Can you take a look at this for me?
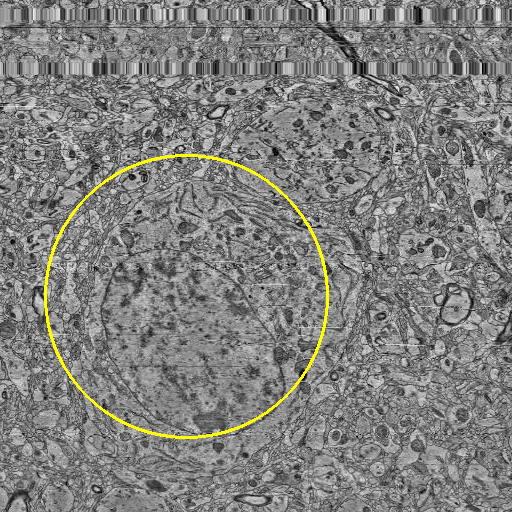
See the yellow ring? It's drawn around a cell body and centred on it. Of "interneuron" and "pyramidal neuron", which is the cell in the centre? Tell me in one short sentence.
The one in the centre is an interneuron.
